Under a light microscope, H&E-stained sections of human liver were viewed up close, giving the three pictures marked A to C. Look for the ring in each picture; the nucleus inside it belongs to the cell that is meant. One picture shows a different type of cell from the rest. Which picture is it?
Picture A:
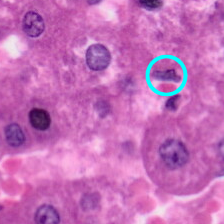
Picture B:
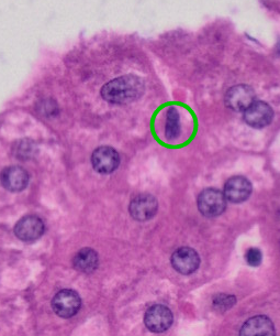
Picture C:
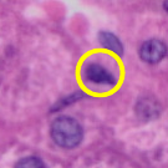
A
